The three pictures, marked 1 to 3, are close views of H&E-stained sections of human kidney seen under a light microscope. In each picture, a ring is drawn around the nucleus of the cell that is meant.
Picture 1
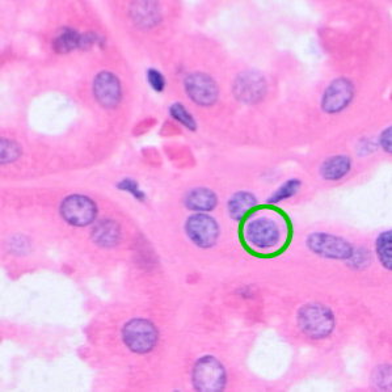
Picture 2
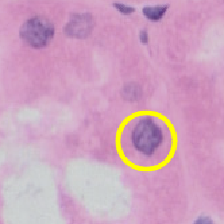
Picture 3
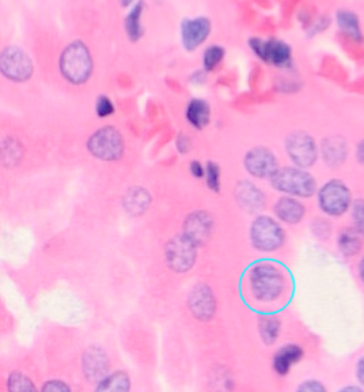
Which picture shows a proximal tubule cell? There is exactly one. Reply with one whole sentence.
It is picture 2 that shows the proximal tubule cell.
